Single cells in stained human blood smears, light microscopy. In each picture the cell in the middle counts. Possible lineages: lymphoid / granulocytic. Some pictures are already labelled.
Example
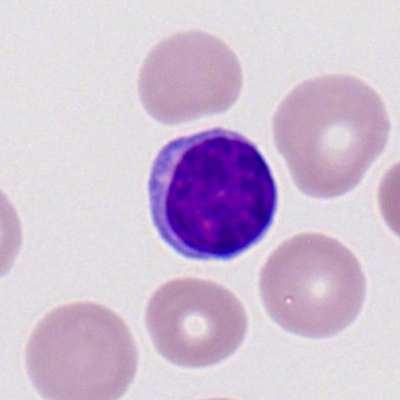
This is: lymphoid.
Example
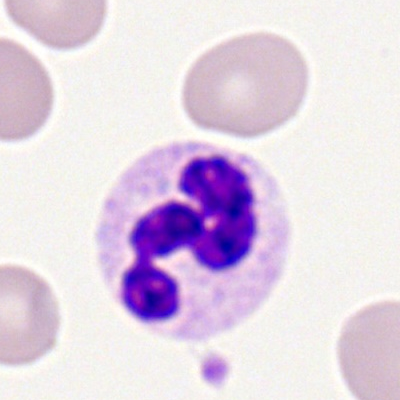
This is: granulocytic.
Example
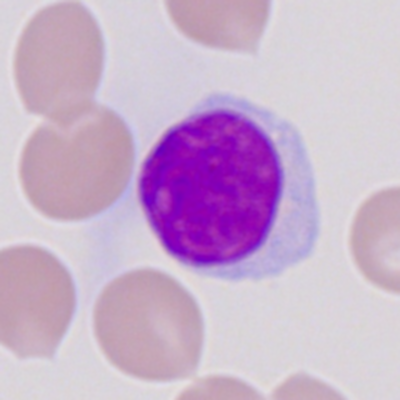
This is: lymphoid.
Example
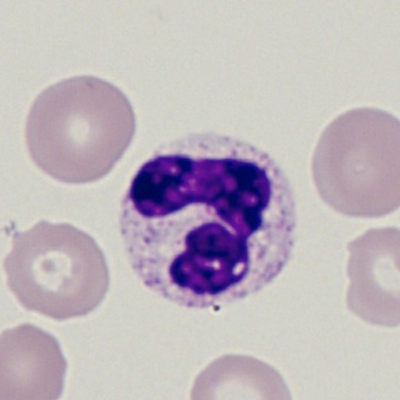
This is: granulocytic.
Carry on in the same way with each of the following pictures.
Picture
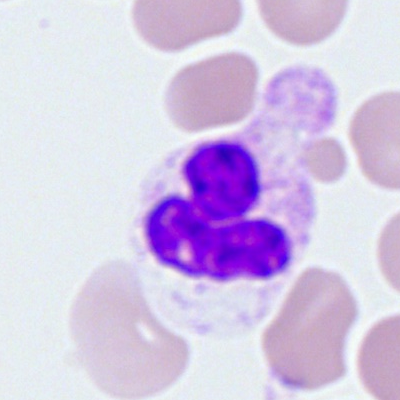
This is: granulocytic.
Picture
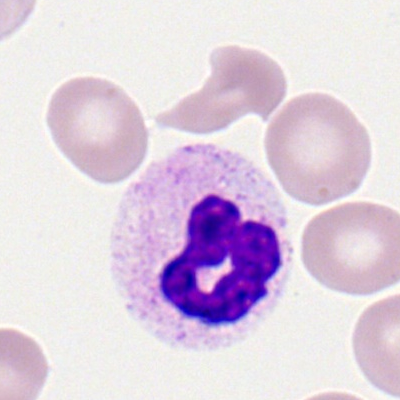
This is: granulocytic.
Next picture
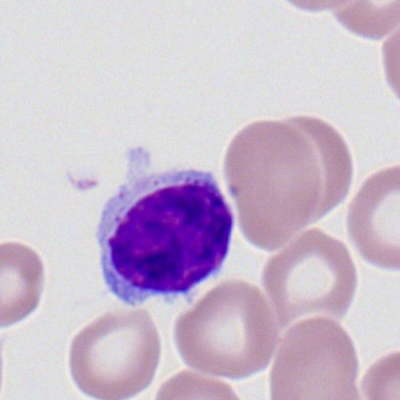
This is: lymphoid.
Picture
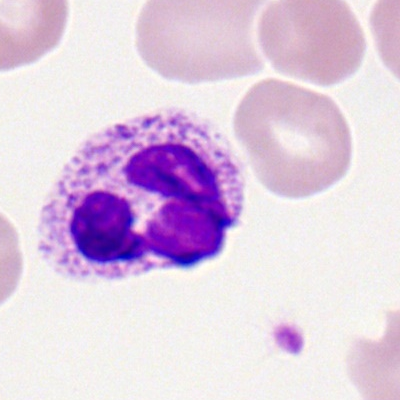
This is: granulocytic.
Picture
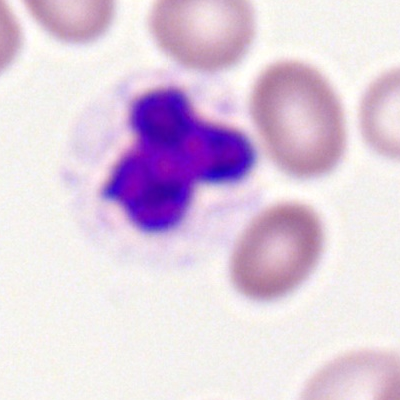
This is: granulocytic.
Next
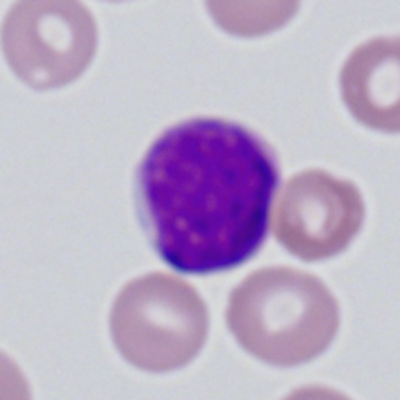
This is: lymphoid.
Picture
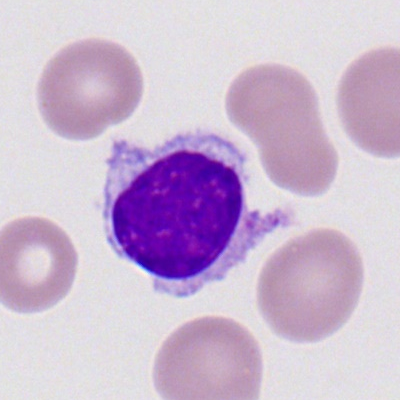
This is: lymphoid.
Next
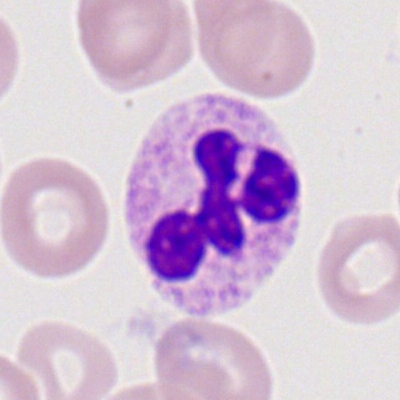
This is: granulocytic.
